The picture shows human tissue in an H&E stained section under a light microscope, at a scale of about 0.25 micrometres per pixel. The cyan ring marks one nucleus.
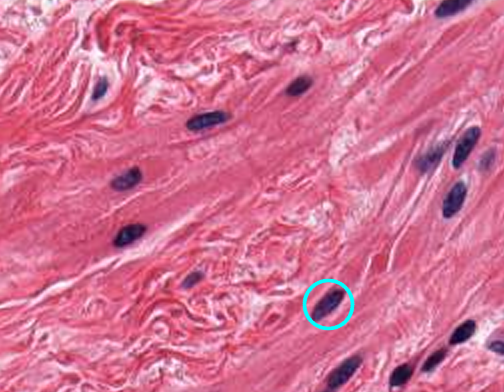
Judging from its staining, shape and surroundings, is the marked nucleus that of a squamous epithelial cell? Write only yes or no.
no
